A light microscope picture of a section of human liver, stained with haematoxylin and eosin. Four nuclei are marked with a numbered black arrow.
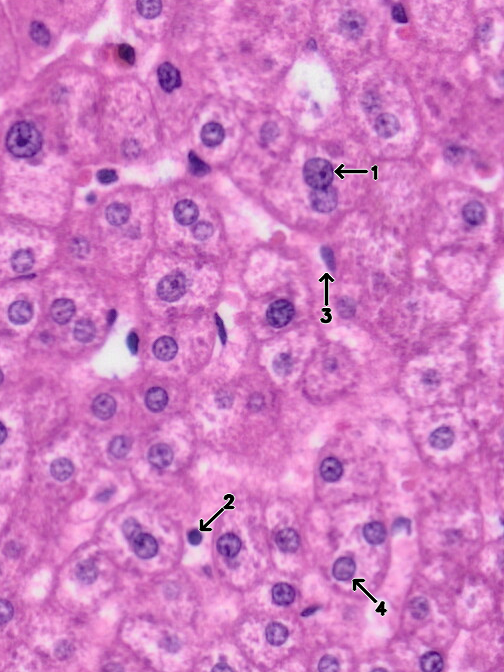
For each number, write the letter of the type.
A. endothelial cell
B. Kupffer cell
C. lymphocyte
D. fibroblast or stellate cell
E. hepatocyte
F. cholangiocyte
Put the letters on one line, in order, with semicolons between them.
E; C; A; E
